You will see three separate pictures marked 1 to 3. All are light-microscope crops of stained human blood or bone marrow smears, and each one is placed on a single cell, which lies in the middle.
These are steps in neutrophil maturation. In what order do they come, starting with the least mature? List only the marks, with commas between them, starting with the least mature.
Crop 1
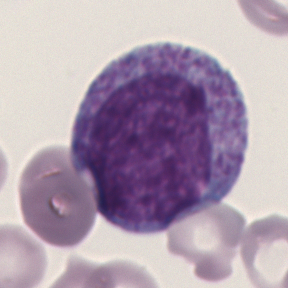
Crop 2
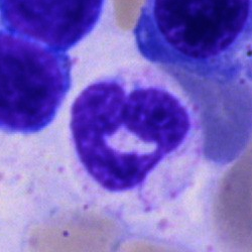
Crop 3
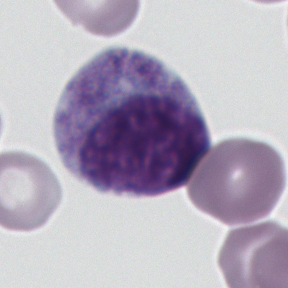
1, 3, 2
